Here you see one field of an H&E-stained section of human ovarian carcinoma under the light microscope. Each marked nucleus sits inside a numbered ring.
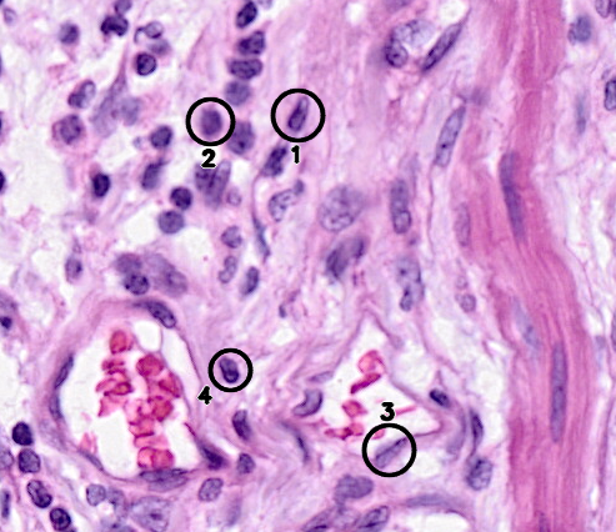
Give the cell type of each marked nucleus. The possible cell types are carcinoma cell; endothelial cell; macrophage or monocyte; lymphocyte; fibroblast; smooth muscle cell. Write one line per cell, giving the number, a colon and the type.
1: lymphocyte
2: lymphocyte
3: endothelial cell
4: lymphocyte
